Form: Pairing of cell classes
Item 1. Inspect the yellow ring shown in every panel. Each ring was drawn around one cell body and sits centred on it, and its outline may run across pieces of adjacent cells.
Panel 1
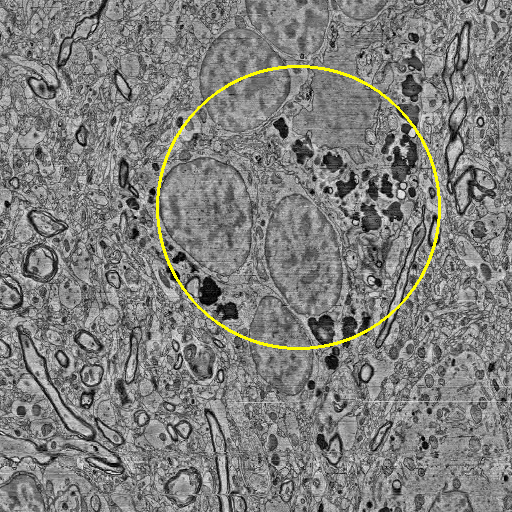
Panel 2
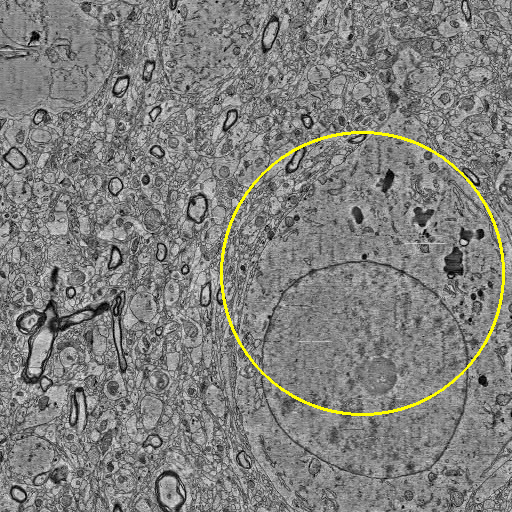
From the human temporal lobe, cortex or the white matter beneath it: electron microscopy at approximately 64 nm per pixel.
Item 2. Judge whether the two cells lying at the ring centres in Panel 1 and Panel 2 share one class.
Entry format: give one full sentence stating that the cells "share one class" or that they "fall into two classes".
The cells at the ring centres in Panel 1 and Panel 2 fall into two classes.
